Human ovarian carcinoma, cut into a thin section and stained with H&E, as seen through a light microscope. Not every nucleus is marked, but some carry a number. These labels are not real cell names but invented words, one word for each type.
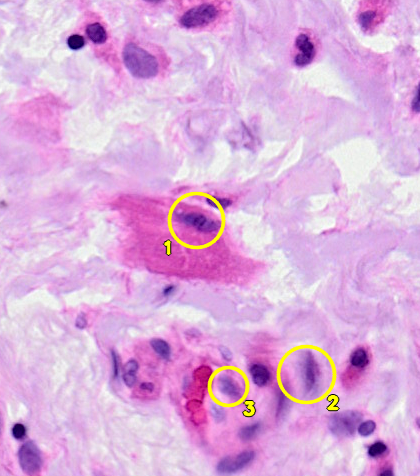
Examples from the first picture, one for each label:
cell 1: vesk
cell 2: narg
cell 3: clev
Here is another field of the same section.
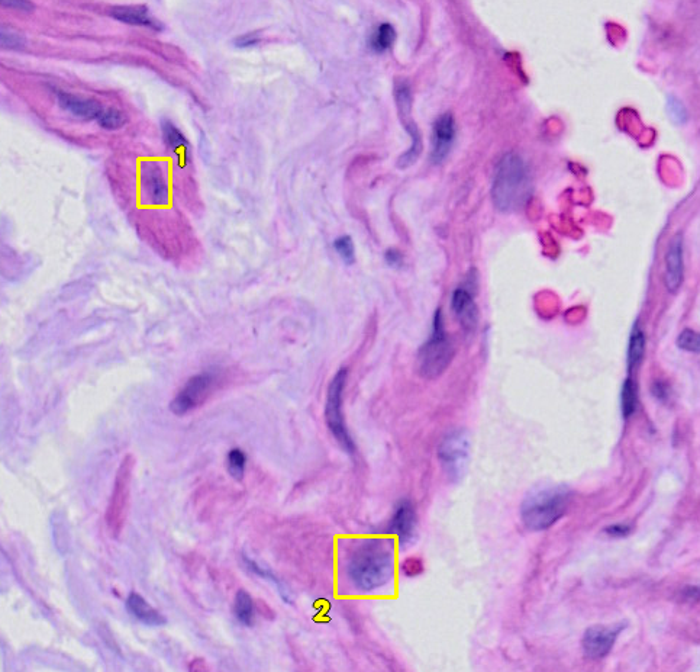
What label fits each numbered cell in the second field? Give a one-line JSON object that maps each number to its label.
{"1": "vesk", "2": "clev"}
